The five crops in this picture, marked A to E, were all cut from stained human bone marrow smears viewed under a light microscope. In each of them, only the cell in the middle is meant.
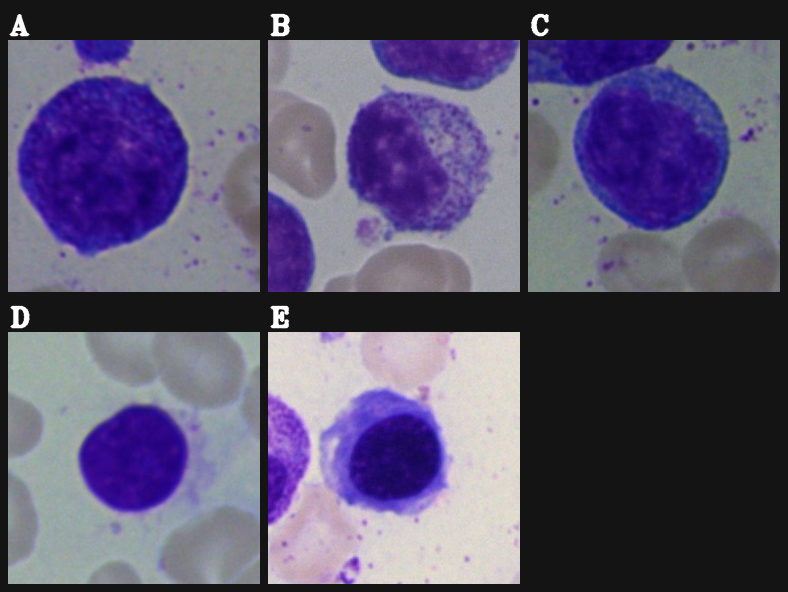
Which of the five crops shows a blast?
C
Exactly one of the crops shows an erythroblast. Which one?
E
